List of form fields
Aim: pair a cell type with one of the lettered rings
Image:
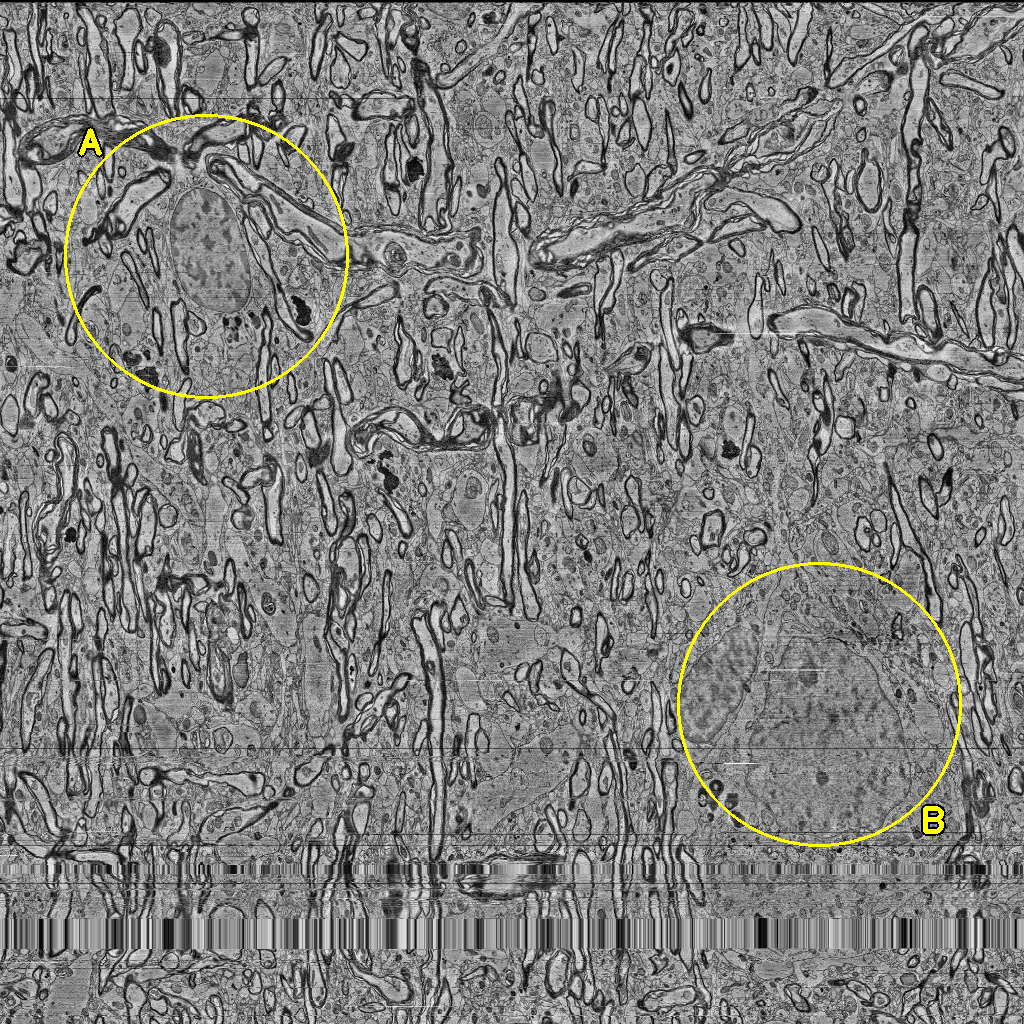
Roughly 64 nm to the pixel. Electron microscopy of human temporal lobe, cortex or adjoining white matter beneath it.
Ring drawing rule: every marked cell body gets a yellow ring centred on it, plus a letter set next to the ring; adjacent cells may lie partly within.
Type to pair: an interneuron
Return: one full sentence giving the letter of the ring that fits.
Ring B is the one whose central cell body is that kind of cell.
